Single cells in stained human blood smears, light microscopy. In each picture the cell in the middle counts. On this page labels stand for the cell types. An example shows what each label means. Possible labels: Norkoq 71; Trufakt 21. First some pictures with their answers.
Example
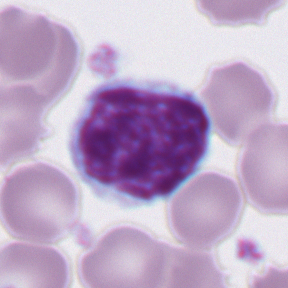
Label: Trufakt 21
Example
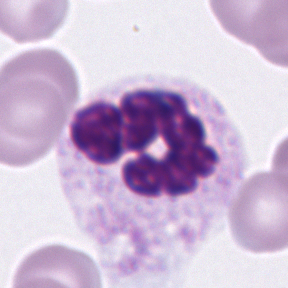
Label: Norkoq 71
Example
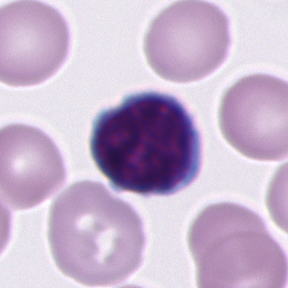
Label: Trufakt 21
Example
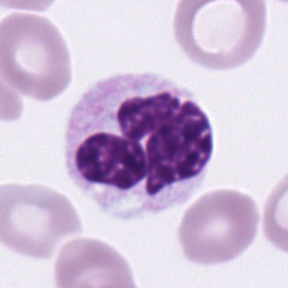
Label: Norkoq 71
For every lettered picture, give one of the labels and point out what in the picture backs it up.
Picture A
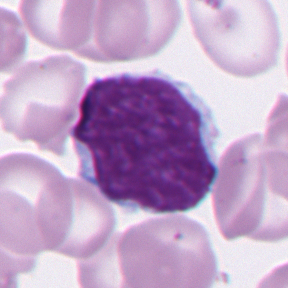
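Answer: Trufakt 21. The cytoplasm forms only a thin rim around the nucleus.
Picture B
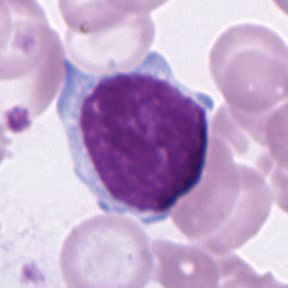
Answer: Trufakt 21. The cytoplasm is a scant pale blue rim around a nucleus that fills most of the cell.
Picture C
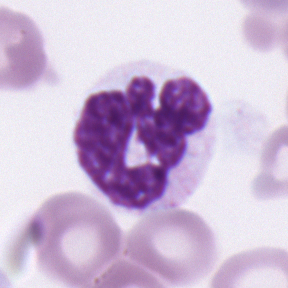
Answer: Norkoq 71. The nuclear lobes are arranged in a ring around a small pale central gap.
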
